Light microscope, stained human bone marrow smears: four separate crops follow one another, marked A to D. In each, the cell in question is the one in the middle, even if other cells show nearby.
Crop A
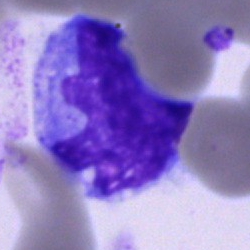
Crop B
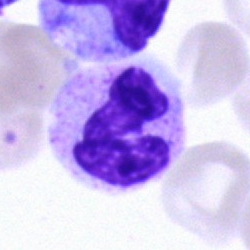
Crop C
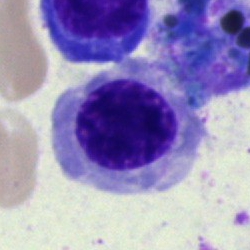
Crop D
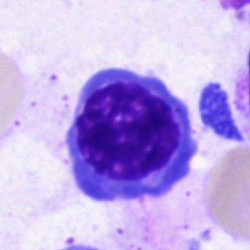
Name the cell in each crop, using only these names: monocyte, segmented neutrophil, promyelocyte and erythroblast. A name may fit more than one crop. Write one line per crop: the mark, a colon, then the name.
A: monocyte
B: segmented neutrophil
C: erythroblast
D: erythroblast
